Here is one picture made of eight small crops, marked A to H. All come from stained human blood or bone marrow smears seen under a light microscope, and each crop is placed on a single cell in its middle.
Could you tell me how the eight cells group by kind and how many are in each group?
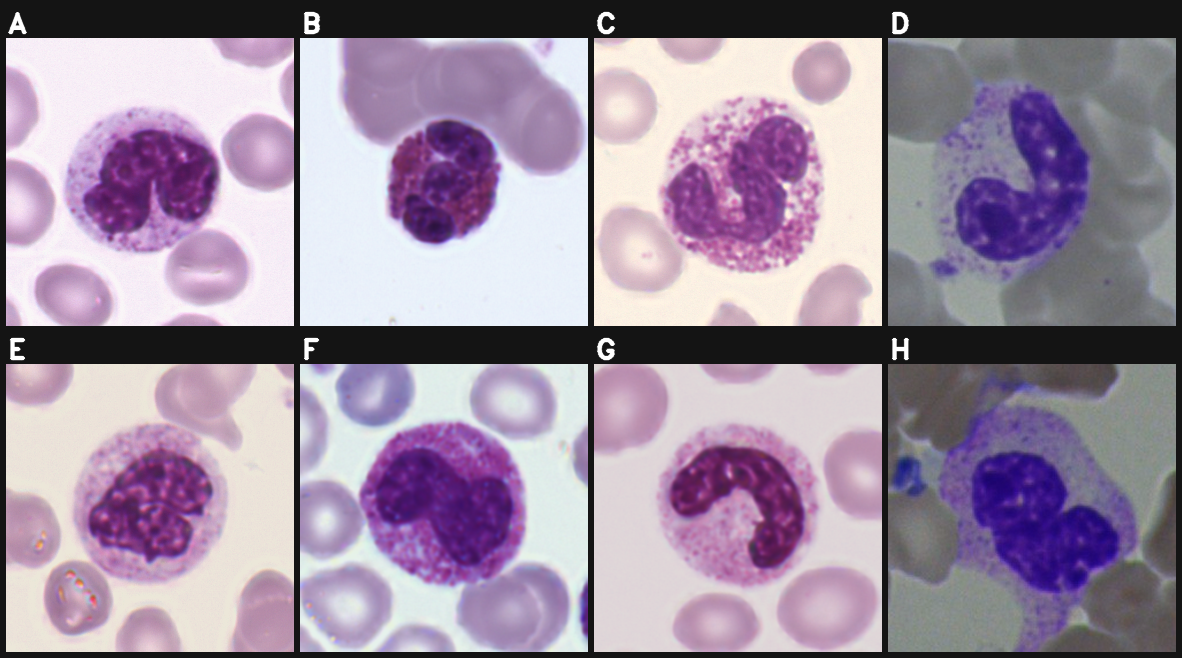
band neutrophil: 5
eosinophil: 3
